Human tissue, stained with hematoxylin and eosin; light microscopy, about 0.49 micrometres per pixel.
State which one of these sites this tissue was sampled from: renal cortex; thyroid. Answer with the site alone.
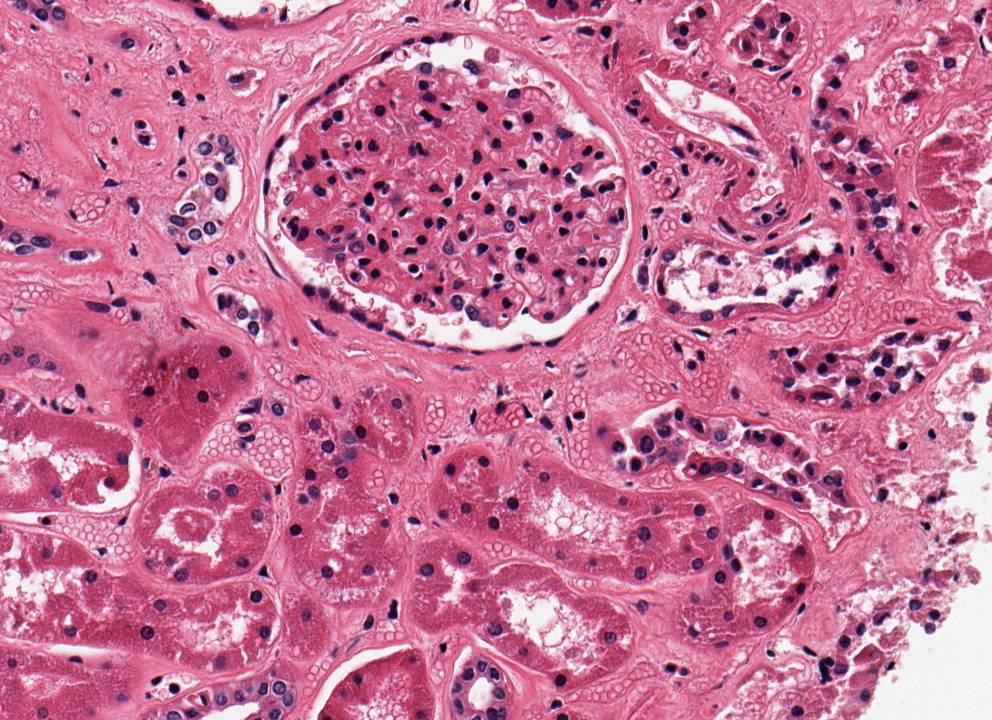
renal cortex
